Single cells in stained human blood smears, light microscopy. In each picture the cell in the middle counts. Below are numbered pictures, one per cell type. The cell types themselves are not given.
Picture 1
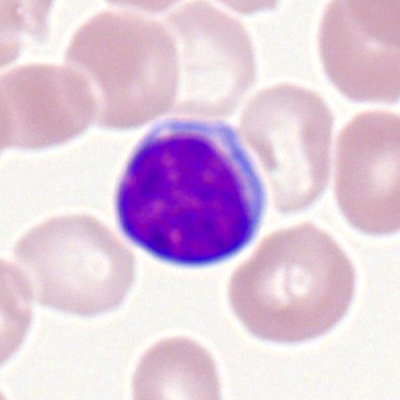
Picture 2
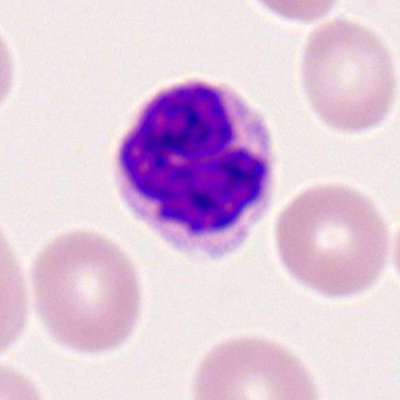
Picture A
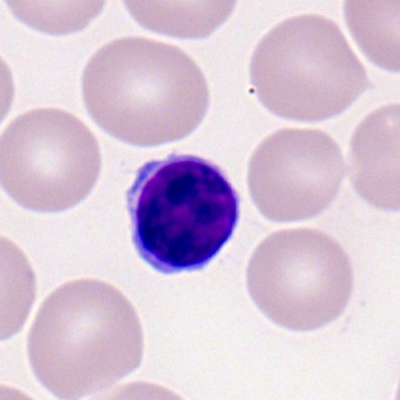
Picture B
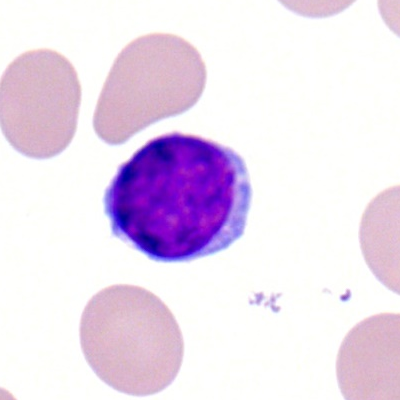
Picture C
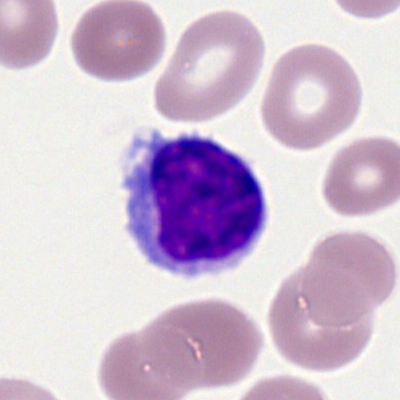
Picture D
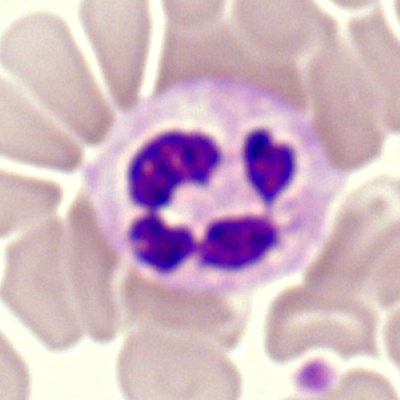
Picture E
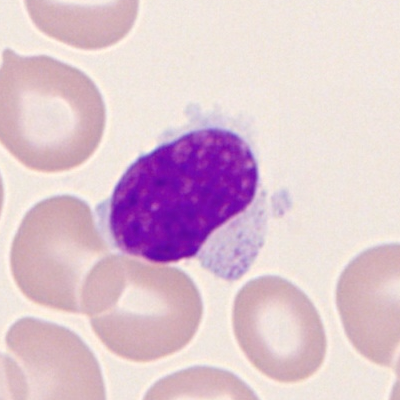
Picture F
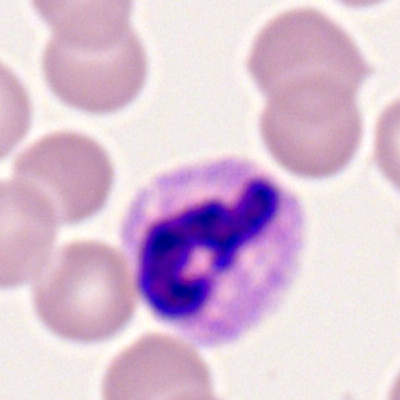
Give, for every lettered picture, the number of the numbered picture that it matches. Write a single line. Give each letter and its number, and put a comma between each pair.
A 1, B 1, C 1, D 2, E 1, F 2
